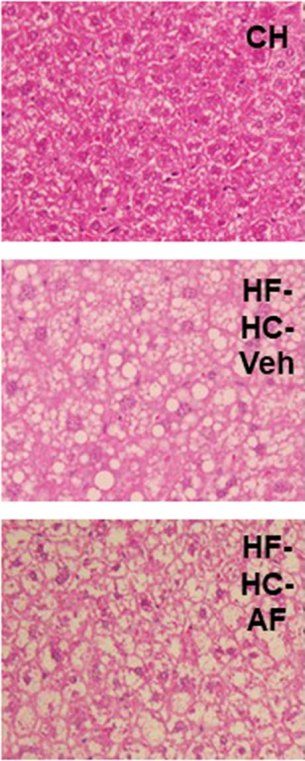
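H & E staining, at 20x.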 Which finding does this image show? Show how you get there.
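The middle image has many round, clear, unstained vacuoles inside the liver cells. The vacuoles vary in size, from small to large ones about as big as a whole cell. The top image shows liver cells with evenly pink cytoplasm and no such vacuoles.
Hence: lipid accumulation.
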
